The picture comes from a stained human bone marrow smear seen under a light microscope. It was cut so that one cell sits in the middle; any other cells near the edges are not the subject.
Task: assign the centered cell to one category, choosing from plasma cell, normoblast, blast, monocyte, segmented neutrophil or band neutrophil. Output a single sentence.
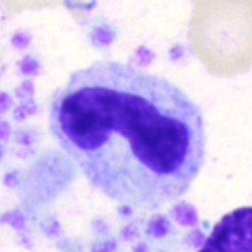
Present in the middle of the crop is a band neutrophil.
